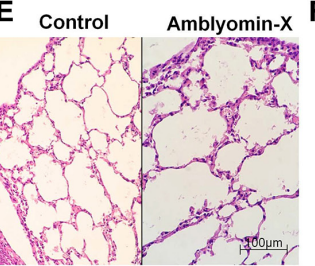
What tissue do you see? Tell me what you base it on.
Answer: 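Thin-walled air spaces separated by delicate septa. Septa lined by scattered small nuclei. No solid cell masses.
Conclusion: lungs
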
